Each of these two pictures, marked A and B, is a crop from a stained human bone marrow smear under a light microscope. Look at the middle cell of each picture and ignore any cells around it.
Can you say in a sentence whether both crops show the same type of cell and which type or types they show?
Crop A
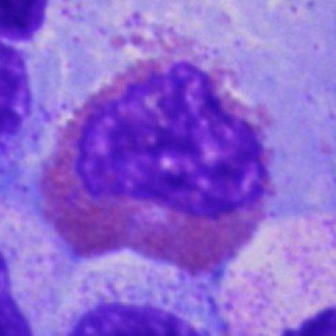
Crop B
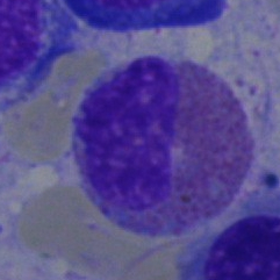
Yes, both crops are centred on cells that are eosinophils.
